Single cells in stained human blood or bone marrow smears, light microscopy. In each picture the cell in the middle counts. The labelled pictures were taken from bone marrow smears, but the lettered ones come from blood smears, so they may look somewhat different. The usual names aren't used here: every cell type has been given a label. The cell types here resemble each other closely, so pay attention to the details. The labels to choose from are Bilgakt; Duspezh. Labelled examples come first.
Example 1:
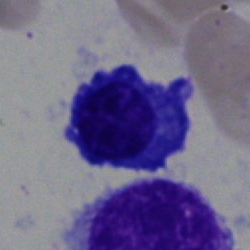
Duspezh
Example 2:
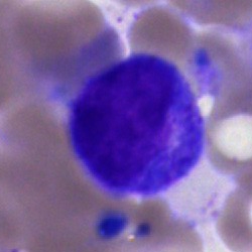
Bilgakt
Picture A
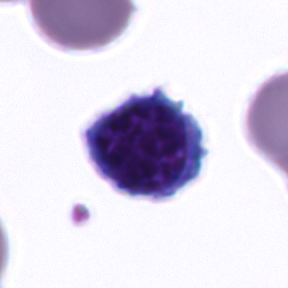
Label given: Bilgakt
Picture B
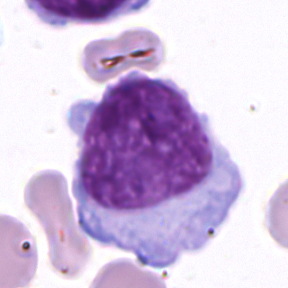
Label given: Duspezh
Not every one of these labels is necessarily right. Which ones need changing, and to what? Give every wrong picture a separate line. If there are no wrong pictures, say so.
A is labelled Bilgakt; correct label: Duspezh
